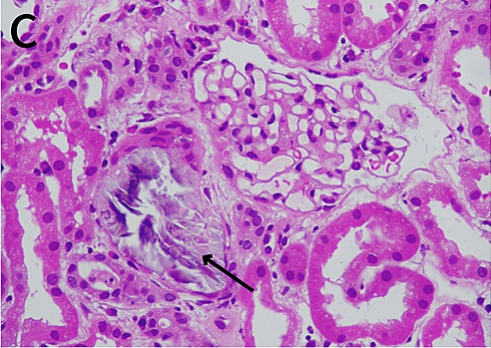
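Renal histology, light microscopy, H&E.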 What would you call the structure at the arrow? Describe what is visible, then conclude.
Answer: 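A tubule next to the glomerulus holds angular, fan-like, layered purple-grey material. The material fills the tubule lumen and is ringed by epithelial cells. So: intratubular polyhedral calcium oxalate crystals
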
